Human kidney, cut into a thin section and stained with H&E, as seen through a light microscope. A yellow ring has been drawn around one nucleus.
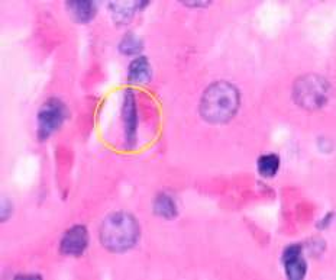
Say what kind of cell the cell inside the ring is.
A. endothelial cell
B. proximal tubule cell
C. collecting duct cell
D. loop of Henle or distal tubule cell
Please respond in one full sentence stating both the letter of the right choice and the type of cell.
Option A, which has the cell inside the ring as an endothelial cell, is the correct choice.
